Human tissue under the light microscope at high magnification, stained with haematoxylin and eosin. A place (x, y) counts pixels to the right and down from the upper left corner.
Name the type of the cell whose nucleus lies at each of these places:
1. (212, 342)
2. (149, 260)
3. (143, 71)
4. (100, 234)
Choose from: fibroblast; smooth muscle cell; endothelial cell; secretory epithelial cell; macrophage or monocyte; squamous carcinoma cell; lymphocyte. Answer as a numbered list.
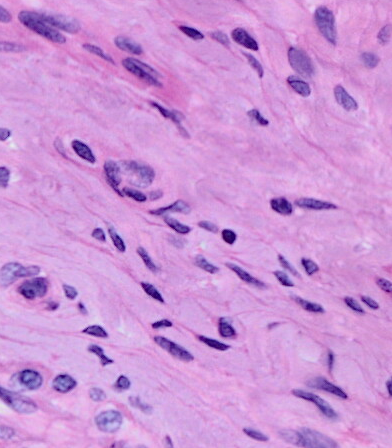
1. fibroblast
2. fibroblast
3. endothelial cell
4. fibroblast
